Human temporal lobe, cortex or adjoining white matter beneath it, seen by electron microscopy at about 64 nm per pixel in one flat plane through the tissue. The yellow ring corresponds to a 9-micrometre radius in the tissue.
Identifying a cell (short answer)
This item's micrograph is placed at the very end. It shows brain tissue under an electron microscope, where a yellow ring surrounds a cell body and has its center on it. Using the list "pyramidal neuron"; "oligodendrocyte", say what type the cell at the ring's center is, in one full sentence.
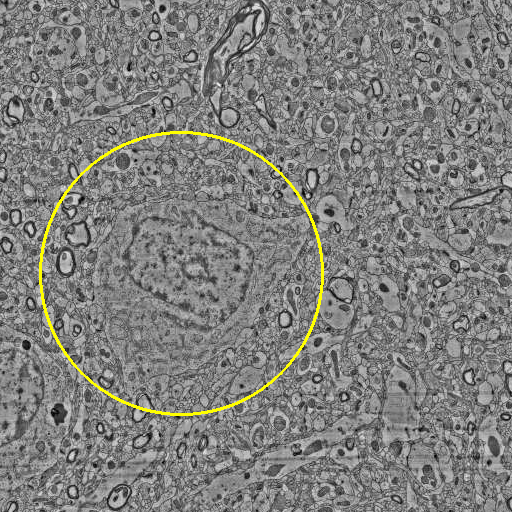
This picture shows an oligodendrocyte at the center of the yellow ring drawn on it.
